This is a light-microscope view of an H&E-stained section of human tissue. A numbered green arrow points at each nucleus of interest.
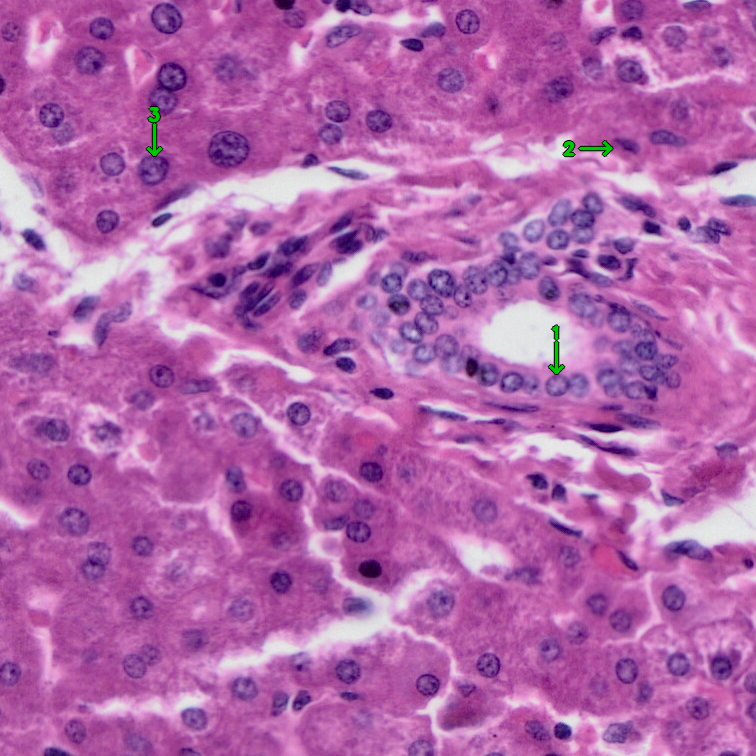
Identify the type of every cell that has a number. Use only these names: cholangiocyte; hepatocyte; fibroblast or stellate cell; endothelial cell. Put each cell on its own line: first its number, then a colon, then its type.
1: cholangiocyte
2: fibroblast or stellate cell
3: hepatocyte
